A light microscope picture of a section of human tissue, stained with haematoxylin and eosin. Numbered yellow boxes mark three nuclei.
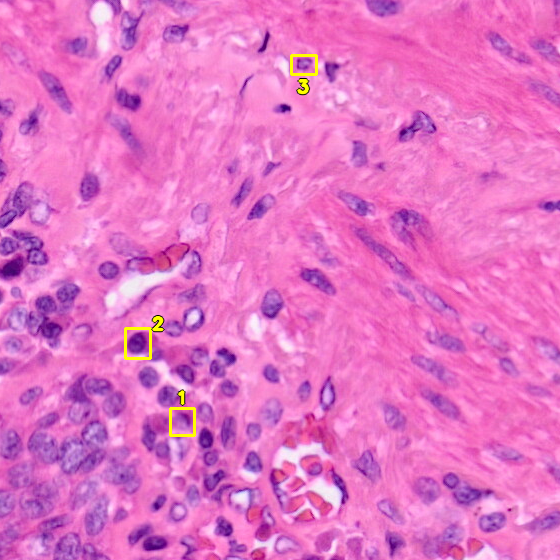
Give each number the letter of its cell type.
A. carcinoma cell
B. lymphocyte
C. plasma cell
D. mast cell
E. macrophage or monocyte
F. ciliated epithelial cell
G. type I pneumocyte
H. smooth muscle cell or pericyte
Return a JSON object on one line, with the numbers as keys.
{"1": "C", "2": "C", "3": "D"}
